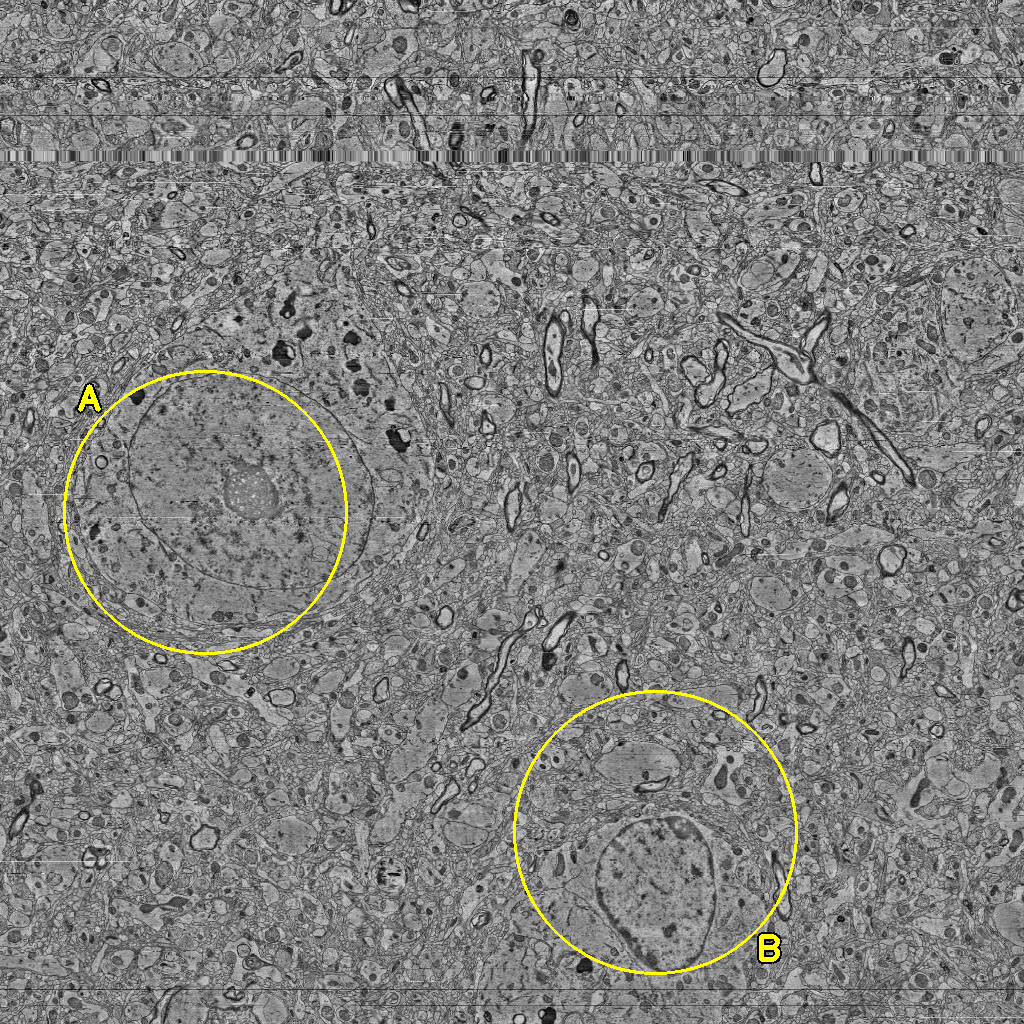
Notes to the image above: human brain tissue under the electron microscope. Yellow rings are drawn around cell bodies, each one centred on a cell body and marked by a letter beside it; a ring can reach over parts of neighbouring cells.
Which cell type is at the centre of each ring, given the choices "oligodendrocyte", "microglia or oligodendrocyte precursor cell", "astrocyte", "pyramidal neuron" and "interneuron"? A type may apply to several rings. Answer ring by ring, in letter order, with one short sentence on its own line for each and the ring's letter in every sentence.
Inside ring A, at its centre, is a pyramidal neuron.
Inside ring B, at its centre, is a microglial cell or oligodendrocyte precursor cell.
